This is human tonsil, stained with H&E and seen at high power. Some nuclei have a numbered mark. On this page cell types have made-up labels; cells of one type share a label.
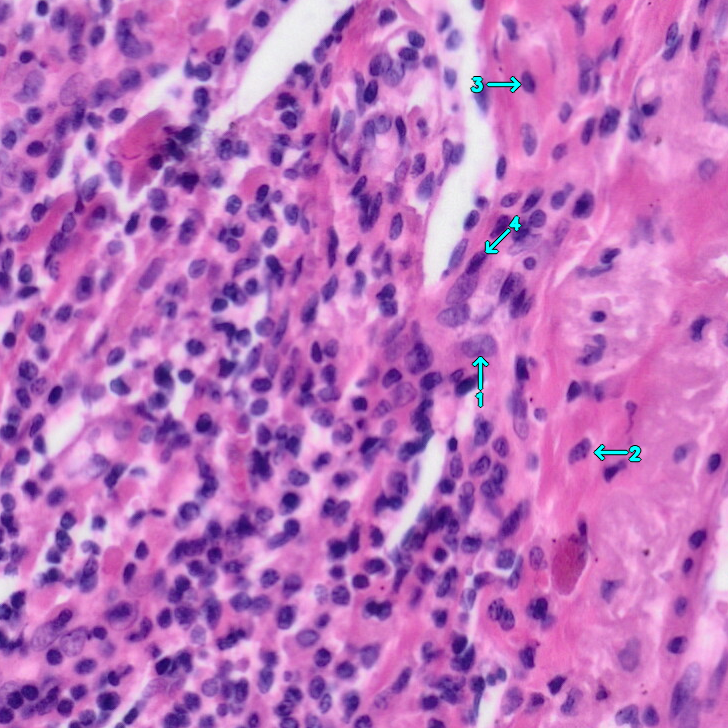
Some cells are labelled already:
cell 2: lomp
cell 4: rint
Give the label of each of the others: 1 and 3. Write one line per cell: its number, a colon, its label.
1: rint
3: lomp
